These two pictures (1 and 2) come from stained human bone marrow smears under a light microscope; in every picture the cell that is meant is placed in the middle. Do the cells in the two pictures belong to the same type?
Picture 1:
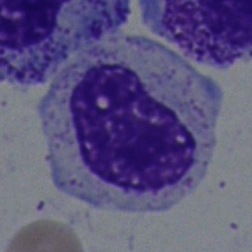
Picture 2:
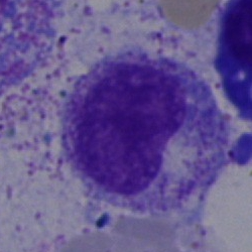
yes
